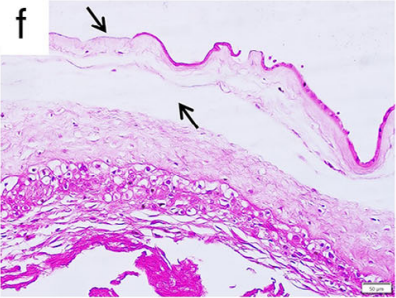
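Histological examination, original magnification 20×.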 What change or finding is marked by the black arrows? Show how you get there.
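Clear structural damage. The thin surface layer is lifted away from the underlying tissue, leaving an empty gap. The separated layer is thin and wavy.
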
